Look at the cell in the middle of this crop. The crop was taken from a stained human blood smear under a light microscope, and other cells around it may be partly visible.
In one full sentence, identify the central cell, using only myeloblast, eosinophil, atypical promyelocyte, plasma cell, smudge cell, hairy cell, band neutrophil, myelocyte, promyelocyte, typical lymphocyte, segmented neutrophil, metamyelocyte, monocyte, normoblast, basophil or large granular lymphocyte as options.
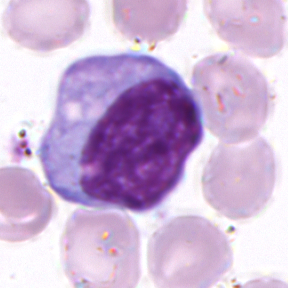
The identification for the central cell is a plasma cell.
